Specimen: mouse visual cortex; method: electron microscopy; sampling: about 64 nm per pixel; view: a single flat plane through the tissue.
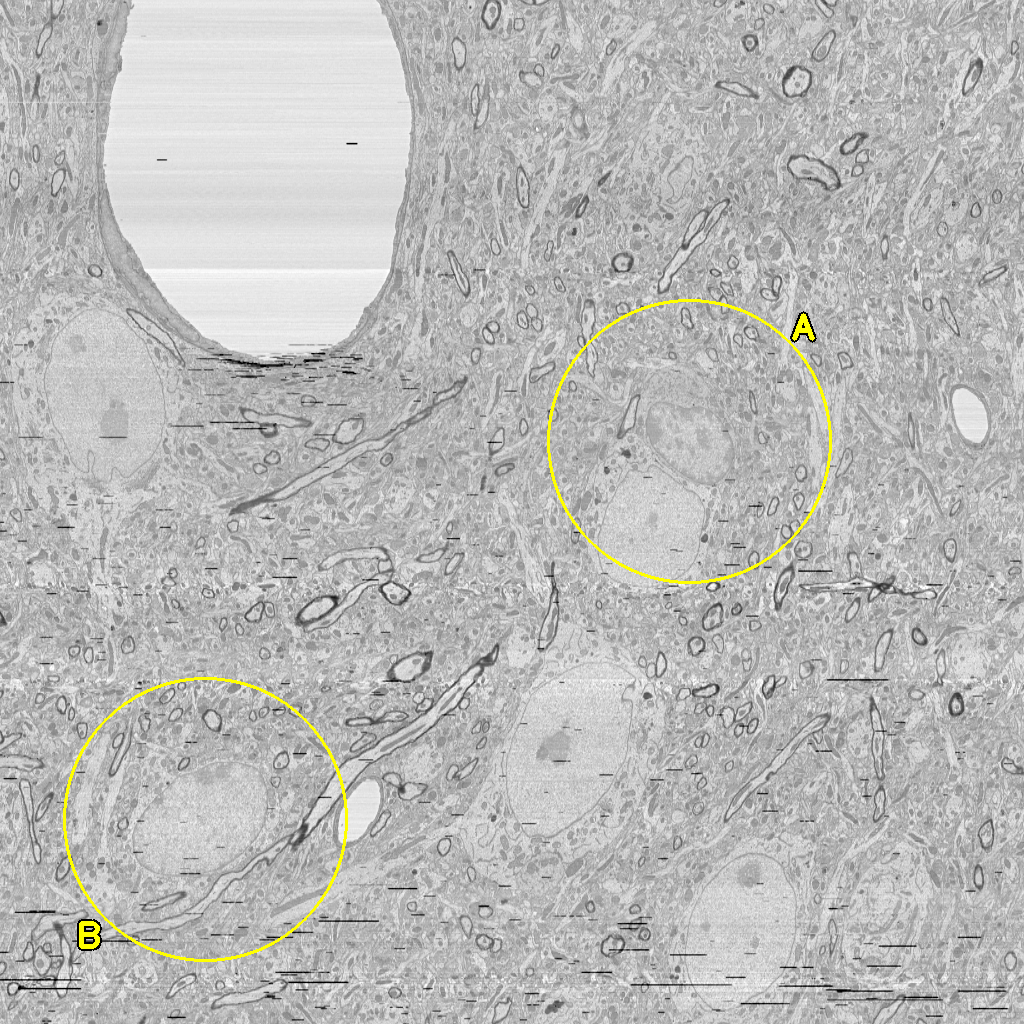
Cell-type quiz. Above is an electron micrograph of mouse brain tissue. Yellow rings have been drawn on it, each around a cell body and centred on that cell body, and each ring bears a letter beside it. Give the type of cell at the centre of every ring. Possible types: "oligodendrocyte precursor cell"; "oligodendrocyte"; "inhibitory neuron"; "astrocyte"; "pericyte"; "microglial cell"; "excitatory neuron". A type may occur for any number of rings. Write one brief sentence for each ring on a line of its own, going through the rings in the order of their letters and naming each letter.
Ring A is centred on the cell body of an oligodendrocyte.
Ring B is centred on the cell body of an astrocyte.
